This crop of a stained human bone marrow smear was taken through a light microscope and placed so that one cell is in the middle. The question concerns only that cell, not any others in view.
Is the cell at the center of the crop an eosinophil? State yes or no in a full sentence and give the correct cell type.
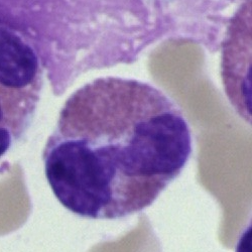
Yes, the cell sitting in the middle of this smear crop is an eosinophil.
